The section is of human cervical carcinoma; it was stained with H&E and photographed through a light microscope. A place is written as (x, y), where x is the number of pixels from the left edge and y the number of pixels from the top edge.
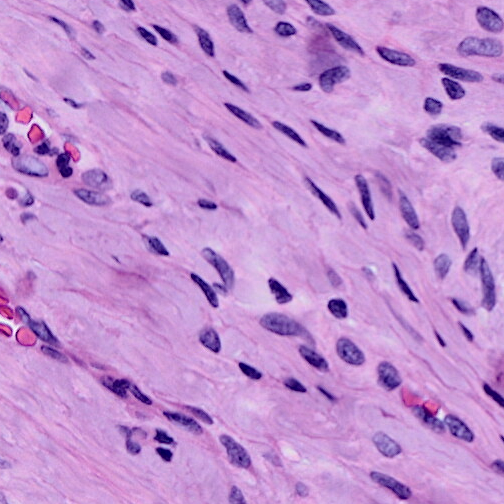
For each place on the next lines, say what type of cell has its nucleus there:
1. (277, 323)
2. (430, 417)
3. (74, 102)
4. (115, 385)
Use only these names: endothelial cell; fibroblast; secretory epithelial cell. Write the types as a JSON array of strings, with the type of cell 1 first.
["fibroblast", "endothelial cell", "fibroblast", "endothelial cell"]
